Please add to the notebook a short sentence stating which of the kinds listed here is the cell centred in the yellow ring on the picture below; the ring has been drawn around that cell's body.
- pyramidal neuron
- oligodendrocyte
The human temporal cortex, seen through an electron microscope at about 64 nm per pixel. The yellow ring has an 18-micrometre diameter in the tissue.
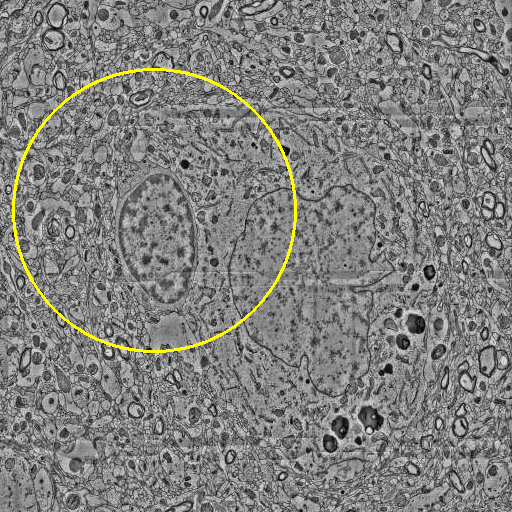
The cell centred in the yellow ring is an oligodendrocyte.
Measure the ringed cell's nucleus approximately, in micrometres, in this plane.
Roughly 8 micrometres long and 5 micrometres wide; in this plane the nucleus is clearly longer than it is wide.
